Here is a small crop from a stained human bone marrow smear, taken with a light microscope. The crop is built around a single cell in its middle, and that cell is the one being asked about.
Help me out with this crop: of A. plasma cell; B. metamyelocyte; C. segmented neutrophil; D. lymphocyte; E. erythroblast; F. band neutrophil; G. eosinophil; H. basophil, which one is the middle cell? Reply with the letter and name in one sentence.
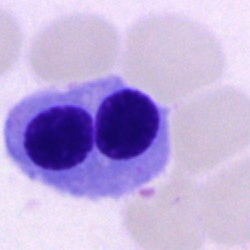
Option E is the right one, for the cell in the middle is an erythroblast.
